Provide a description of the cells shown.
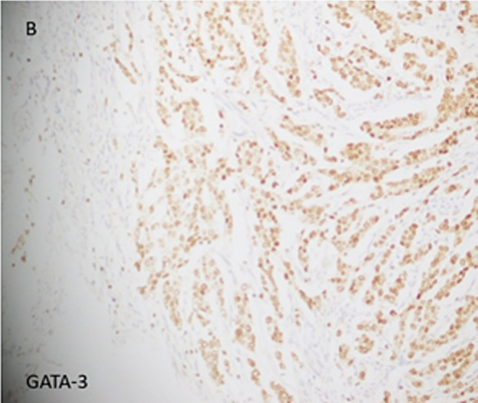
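The tumour cells show brown nuclear staining and are arranged in cords and nests. The brown nuclei are crowded within the cords. Pale, unstained stroma separates the cords. The left part of the field is largely unstained connective tissue with only scattered brown nuclei.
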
